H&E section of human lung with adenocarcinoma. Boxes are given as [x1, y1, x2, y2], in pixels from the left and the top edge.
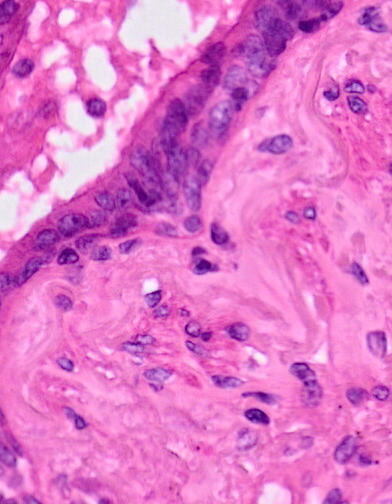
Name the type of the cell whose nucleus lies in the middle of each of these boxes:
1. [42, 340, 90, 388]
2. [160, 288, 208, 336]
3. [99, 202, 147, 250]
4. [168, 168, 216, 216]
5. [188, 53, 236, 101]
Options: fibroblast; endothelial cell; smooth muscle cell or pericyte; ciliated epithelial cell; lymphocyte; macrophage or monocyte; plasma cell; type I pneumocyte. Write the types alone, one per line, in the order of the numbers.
smooth muscle cell or pericyte
smooth muscle cell or pericyte
ciliated epithelial cell
ciliated epithelial cell
ciliated epithelial cell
